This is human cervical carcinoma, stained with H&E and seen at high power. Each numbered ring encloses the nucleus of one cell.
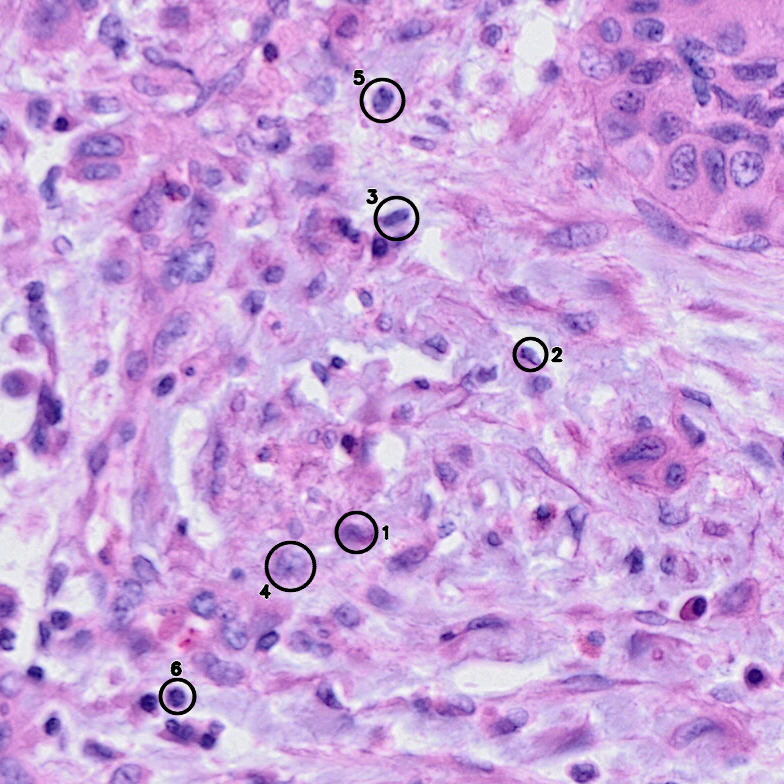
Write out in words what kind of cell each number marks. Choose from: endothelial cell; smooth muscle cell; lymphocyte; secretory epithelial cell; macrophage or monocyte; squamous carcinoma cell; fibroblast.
Cell 1 is a fibroblast, cell 2 is a lymphocyte, cell 3 is a lymphocyte, cell 4 is a fibroblast, cell 5 is a lymphocyte and cell 6 is a lymphocyte.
